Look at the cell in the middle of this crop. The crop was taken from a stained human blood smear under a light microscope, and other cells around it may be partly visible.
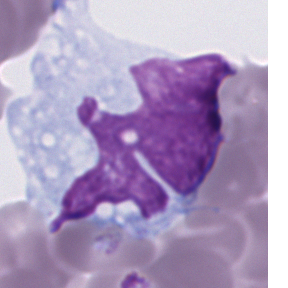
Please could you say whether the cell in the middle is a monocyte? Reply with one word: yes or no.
yes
